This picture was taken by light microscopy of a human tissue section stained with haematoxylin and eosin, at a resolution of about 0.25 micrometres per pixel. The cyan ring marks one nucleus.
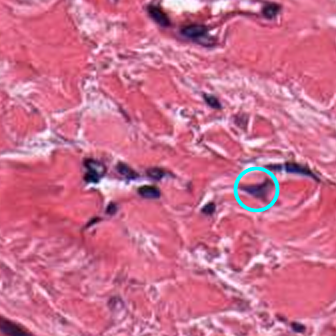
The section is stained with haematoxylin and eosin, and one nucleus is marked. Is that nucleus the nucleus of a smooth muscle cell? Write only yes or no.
no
